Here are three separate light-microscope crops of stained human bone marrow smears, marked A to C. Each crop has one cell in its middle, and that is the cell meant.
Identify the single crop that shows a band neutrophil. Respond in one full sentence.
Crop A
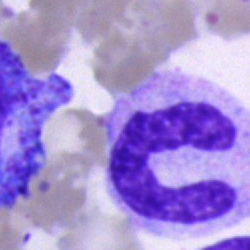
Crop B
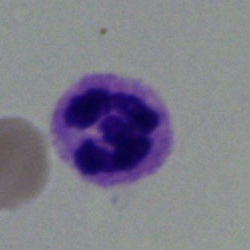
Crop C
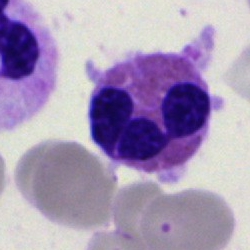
The crop that shows a band neutrophil is crop A.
